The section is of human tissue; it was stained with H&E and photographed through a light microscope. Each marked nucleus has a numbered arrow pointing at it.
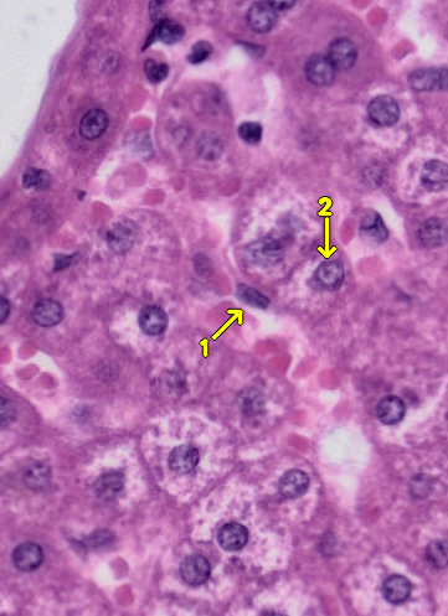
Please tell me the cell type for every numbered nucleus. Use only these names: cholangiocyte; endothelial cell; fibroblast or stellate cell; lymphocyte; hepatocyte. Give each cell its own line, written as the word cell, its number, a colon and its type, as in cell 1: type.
cell 1: endothelial cell
cell 2: hepatocyte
